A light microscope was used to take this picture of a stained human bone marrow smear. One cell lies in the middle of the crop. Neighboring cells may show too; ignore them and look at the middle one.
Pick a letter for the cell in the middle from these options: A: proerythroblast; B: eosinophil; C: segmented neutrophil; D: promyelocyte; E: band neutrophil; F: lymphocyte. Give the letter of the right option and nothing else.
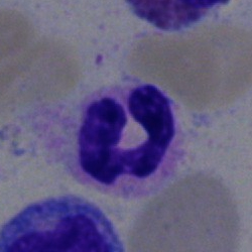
C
